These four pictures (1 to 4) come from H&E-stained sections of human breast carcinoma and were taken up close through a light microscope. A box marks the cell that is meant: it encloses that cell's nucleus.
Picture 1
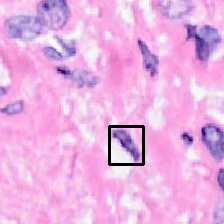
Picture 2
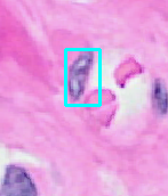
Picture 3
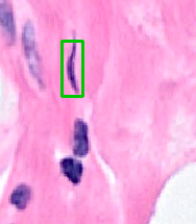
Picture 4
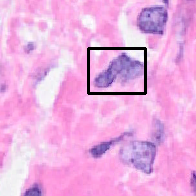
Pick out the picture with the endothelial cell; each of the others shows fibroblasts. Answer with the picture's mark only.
2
